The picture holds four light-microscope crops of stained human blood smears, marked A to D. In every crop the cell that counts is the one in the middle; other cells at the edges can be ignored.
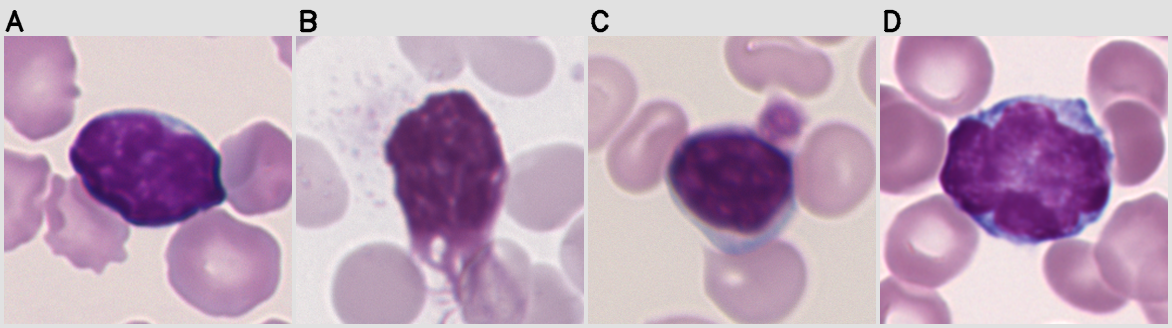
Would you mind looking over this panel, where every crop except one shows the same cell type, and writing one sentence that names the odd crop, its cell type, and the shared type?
The odd one out is crop B, a smudge cell, and all other crops show typical lymphocytes.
